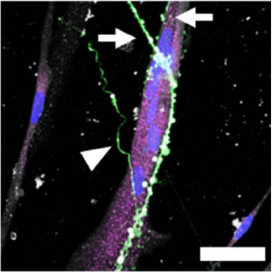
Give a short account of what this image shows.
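This shows a multinucleated muscle fibre contacted by axons. A long, broad magenta fibre runs diagonally and carries a row of oval blue nuclei; a thinner neighbouring fibre lies to its left. Thin green axons, beaded with small swellings, run along the edge of the large fibre, and another fine green axon wanders in a wavy course across the dark background before reaching it. The axons are far thinner than the muscle fibres and lack nuclei of their own in view.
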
